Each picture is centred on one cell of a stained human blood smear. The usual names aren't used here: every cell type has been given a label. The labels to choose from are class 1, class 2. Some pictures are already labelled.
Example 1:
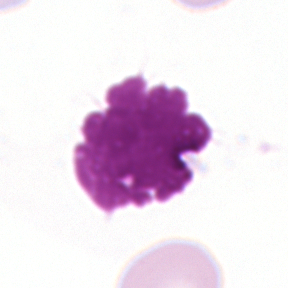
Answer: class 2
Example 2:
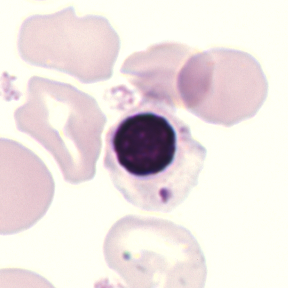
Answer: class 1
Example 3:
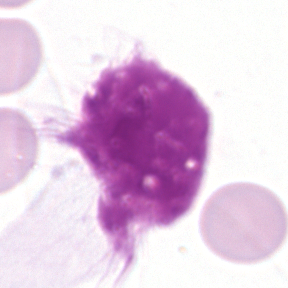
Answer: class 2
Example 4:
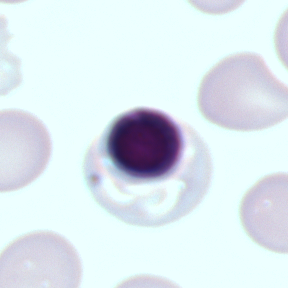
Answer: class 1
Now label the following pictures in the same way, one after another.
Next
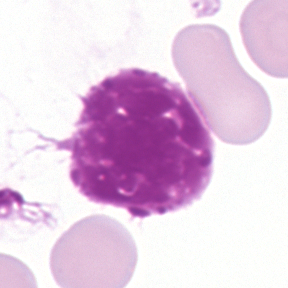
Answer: class 2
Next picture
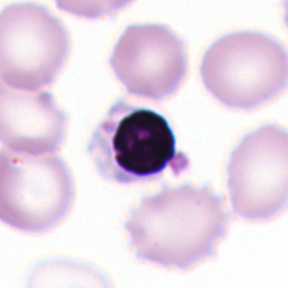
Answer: class 1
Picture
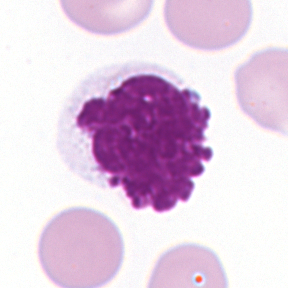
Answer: class 2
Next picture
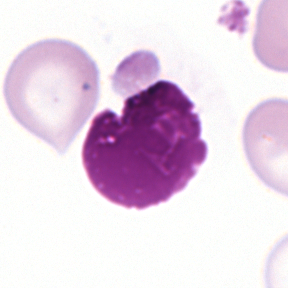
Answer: class 2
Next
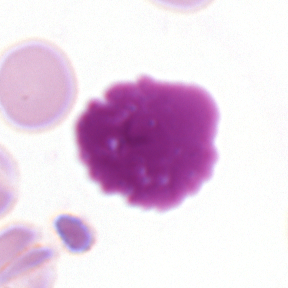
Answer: class 2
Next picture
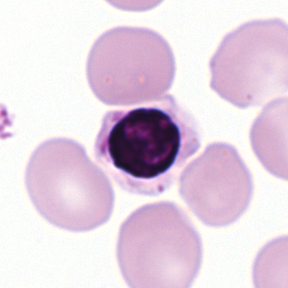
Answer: class 1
